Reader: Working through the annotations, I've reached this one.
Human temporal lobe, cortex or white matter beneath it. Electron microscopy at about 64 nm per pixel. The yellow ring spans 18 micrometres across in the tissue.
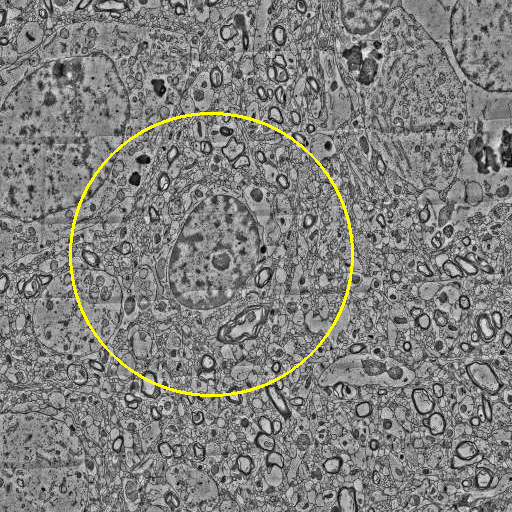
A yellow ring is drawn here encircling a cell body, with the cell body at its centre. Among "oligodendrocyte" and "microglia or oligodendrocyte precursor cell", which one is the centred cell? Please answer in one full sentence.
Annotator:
The cell body at the centre of the yellow ring in this image belongs to a microglial cell or oligodendrocyte precursor cell.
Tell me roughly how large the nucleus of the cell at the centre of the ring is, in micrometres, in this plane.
The ringed cell's nucleus is about 7 micrometres long and 6 micrometres wide in this plane.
